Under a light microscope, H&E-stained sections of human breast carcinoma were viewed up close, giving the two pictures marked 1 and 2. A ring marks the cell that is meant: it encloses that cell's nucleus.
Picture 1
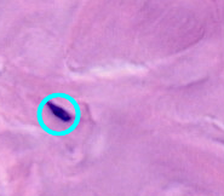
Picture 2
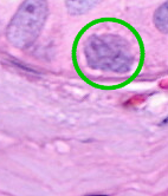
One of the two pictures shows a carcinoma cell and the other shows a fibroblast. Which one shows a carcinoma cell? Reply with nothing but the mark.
2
